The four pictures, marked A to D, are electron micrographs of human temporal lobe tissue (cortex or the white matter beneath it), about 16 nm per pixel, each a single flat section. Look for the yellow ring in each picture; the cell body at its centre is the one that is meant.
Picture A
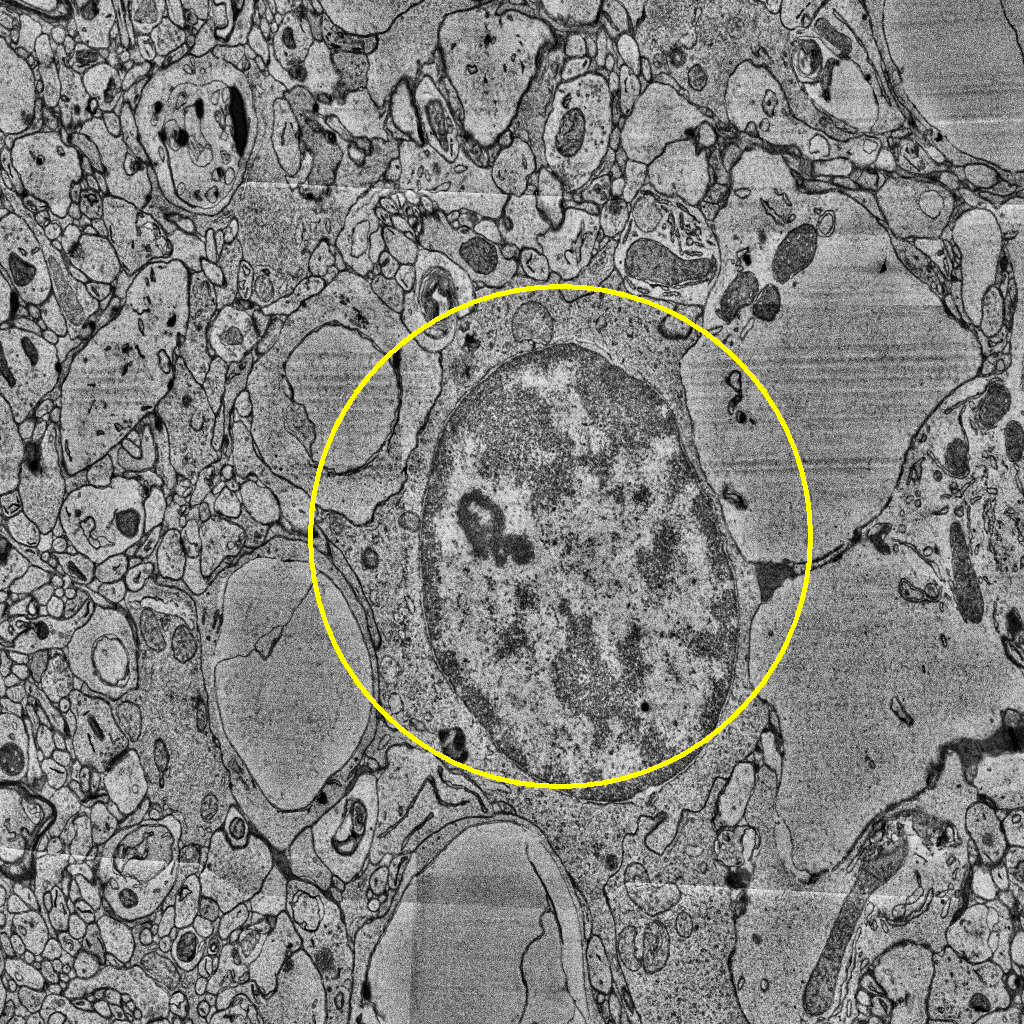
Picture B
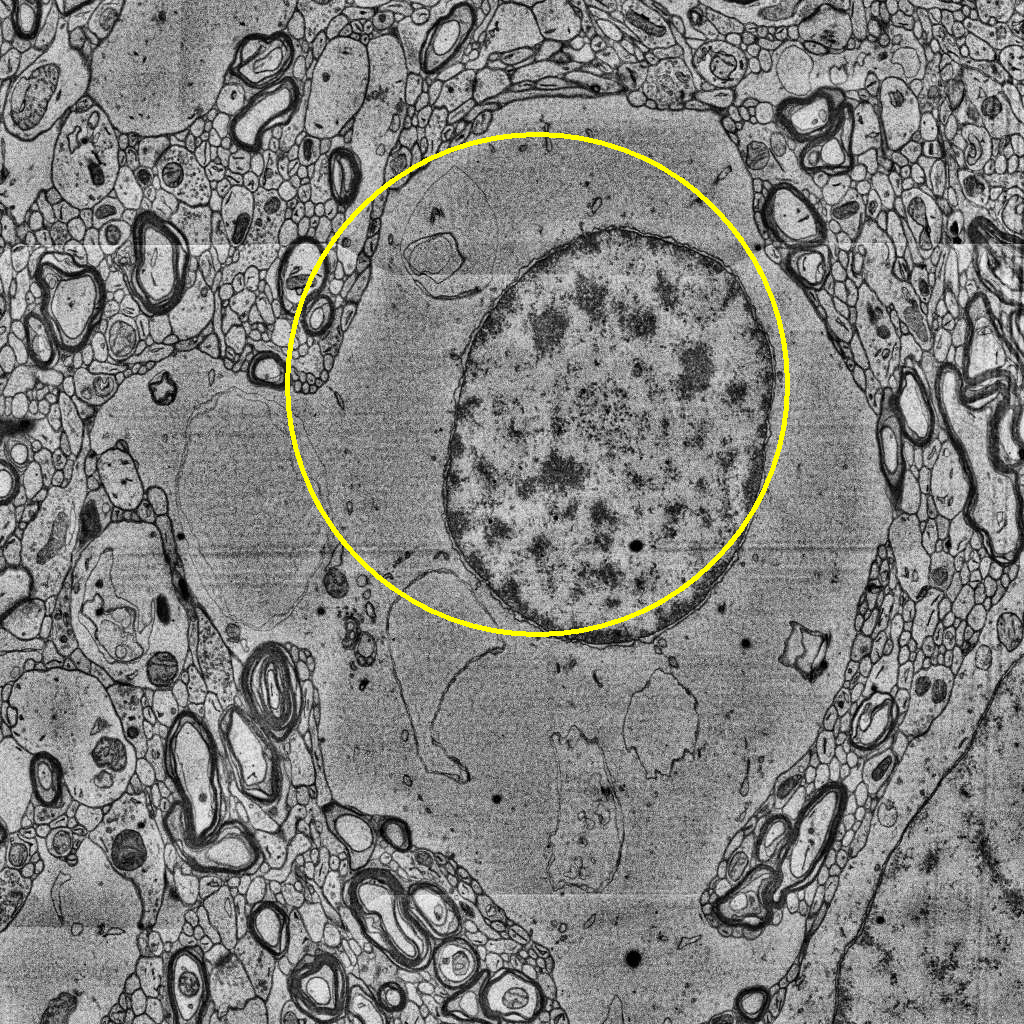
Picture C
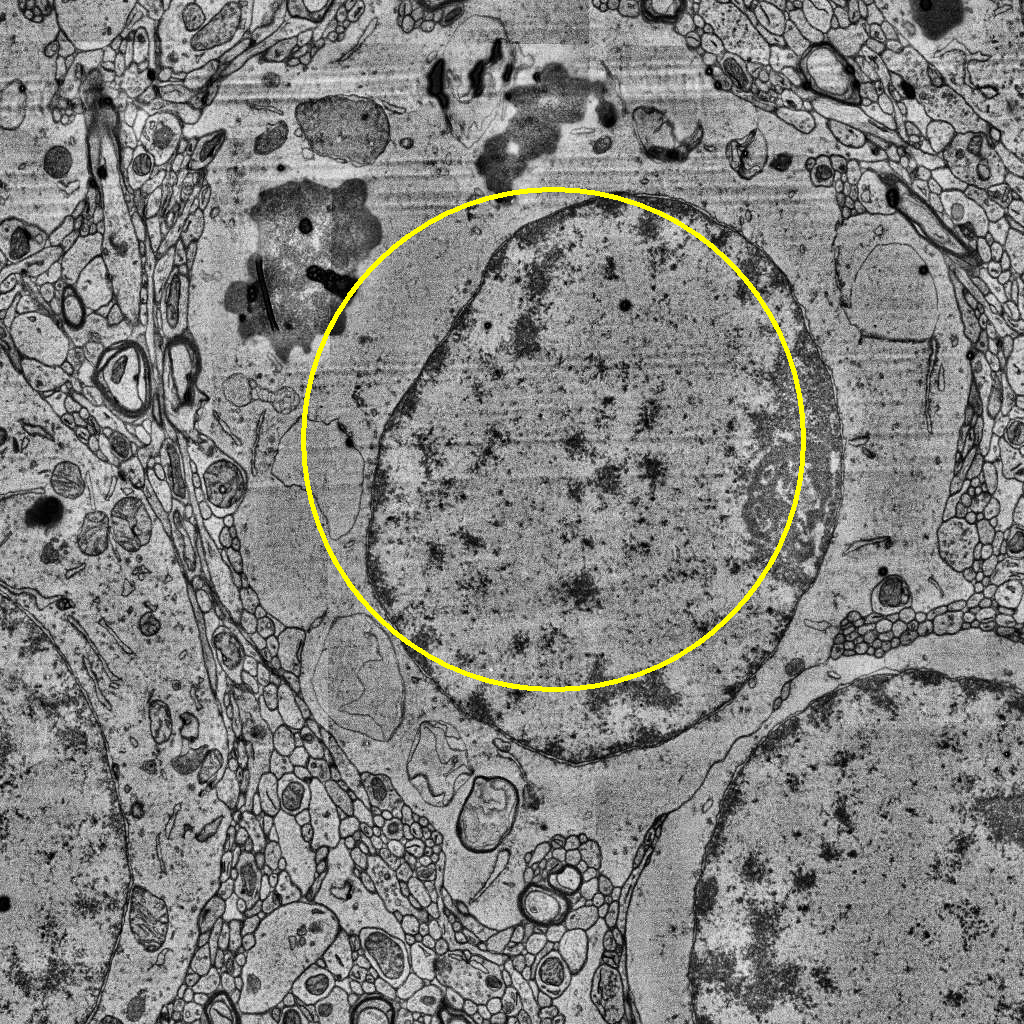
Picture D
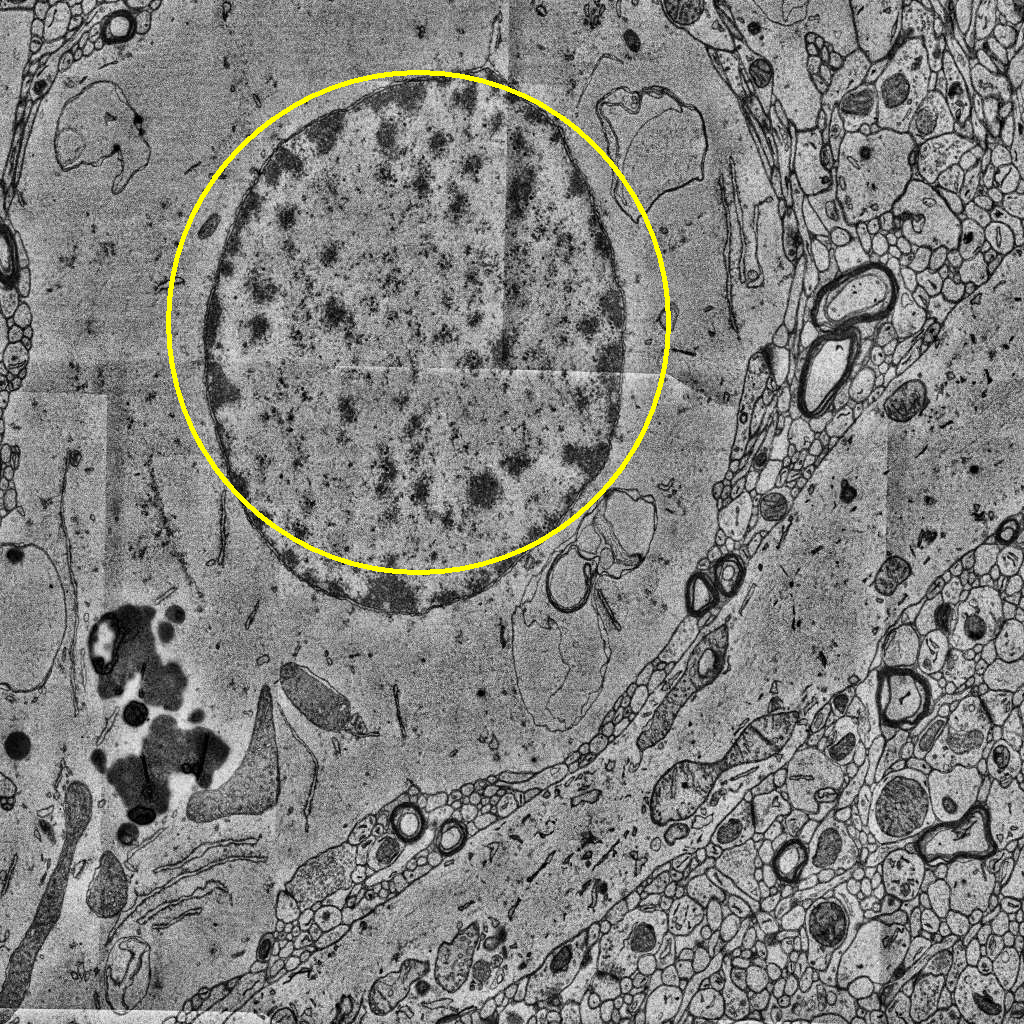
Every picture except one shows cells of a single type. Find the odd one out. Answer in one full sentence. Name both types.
All pictures except A show astrocytes; picture A shows an oligodendrocyte.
